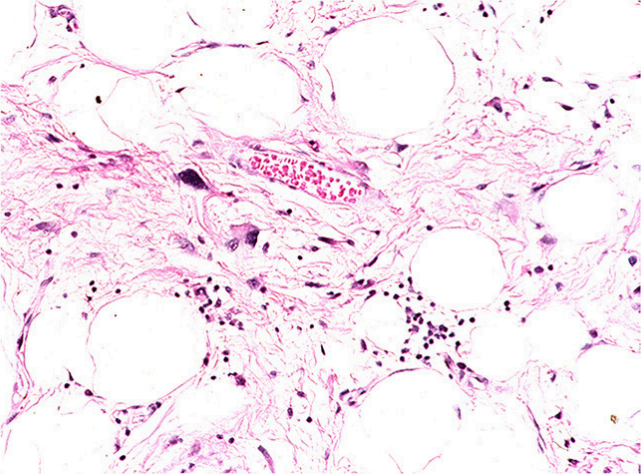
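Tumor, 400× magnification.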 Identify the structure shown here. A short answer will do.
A: Sparsely cellular fibrous septa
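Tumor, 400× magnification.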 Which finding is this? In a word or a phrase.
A: atypical hyperchromatic nuclei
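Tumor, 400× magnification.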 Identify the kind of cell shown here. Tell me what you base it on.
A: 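Adipocytes. Thin membranes outline each vacuole.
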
